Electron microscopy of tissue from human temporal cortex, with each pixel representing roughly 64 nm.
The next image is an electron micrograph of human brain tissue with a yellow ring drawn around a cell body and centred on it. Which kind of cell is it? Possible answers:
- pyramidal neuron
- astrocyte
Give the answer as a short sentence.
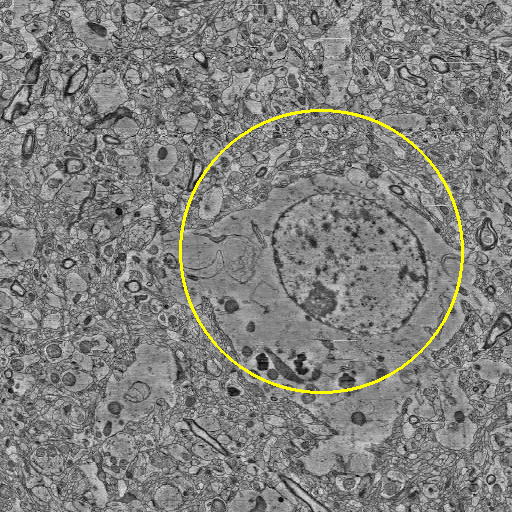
In the ring's centre is an astrocyte.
